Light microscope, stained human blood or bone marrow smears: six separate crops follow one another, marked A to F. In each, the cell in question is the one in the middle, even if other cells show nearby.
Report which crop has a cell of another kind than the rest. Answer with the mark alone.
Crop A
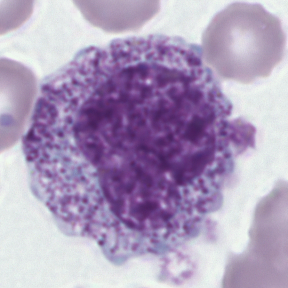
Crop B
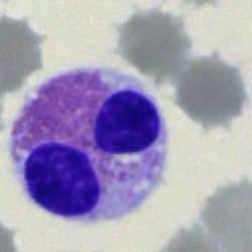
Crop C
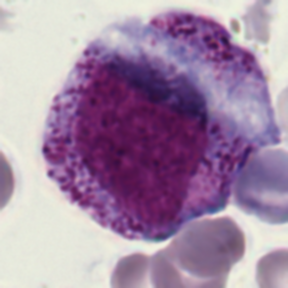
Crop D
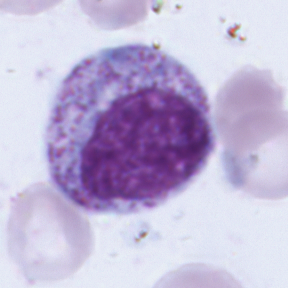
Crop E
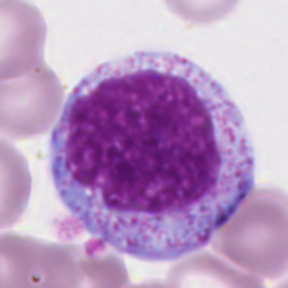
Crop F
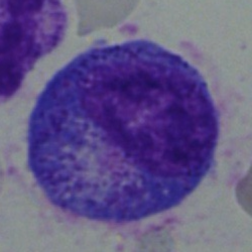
B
